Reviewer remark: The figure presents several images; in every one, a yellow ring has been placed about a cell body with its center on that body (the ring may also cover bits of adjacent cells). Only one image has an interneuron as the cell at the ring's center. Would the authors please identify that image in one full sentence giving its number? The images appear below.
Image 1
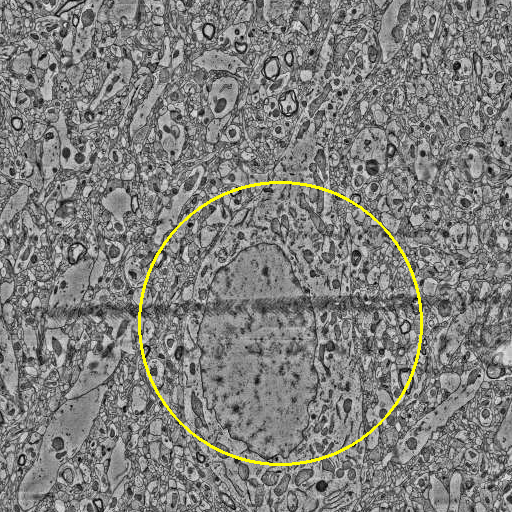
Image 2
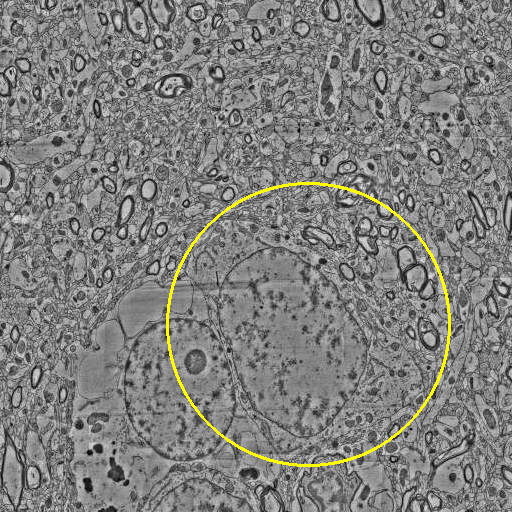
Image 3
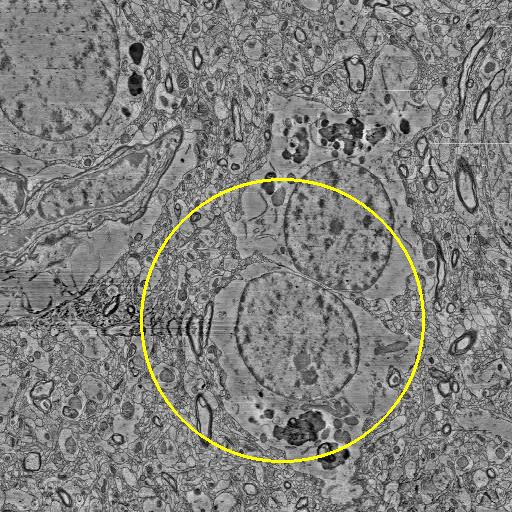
The ring's central cell in image 1 is the one the question describes.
